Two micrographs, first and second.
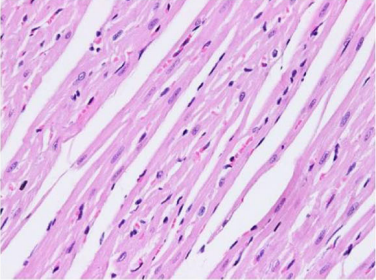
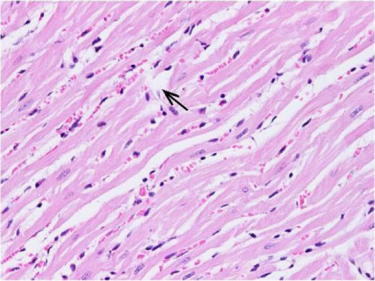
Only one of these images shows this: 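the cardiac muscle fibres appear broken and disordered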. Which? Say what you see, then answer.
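First image: fibres run straight and parallel in orderly bands.
The second image.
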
